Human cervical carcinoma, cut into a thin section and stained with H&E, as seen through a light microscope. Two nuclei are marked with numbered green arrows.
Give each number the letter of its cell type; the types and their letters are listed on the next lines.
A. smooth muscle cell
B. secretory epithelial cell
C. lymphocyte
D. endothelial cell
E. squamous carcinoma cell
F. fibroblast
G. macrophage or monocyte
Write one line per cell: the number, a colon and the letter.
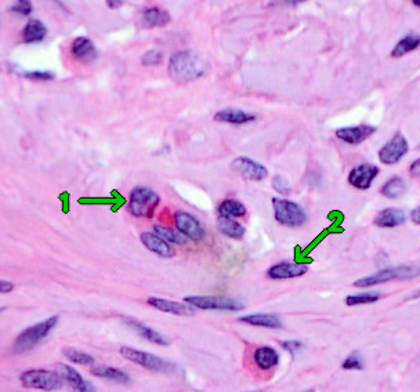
1: D
2: F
